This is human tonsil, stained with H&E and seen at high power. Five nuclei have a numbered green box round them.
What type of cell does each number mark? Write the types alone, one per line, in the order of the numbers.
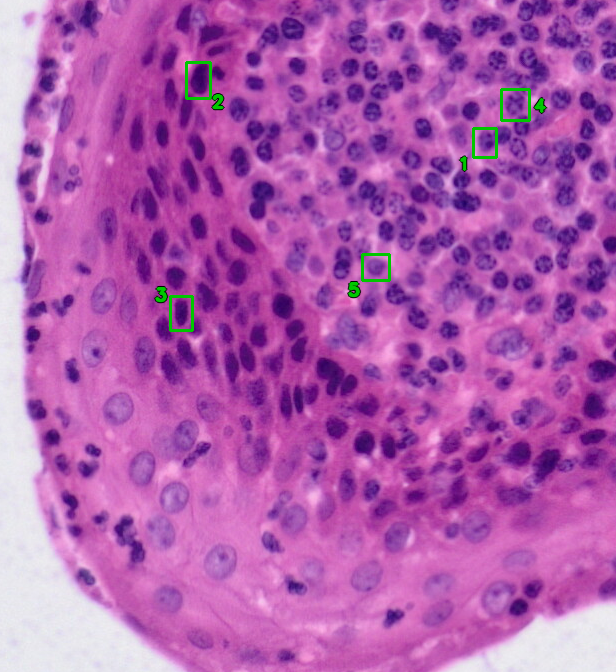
plasma cell
squamous epithelial cell
squamous epithelial cell
plasma cell
plasma cell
